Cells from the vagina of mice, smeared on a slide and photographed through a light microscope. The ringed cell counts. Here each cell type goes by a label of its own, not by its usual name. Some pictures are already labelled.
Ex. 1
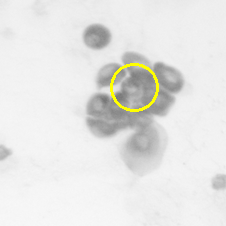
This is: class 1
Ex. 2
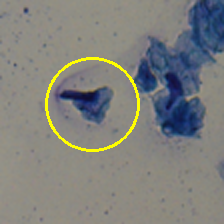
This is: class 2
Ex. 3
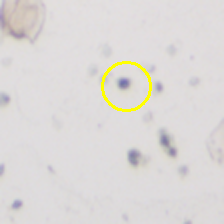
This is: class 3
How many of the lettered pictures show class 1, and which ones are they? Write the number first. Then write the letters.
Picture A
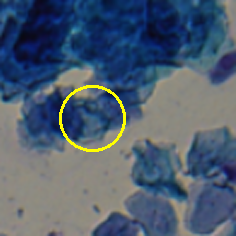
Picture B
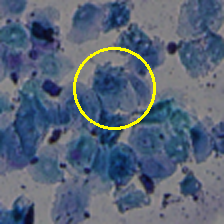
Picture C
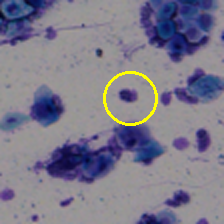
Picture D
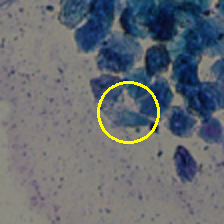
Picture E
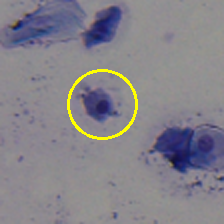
1, namely E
